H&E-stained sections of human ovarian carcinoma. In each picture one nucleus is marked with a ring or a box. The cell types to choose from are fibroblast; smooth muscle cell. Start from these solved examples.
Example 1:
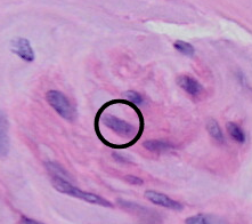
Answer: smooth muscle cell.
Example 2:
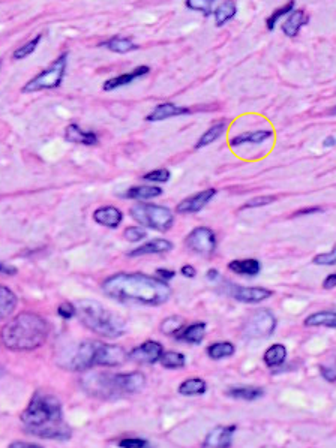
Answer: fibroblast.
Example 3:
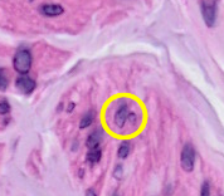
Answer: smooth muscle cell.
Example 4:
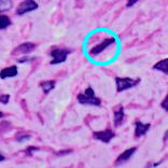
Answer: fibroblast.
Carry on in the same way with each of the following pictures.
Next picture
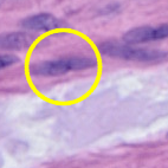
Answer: smooth muscle cell.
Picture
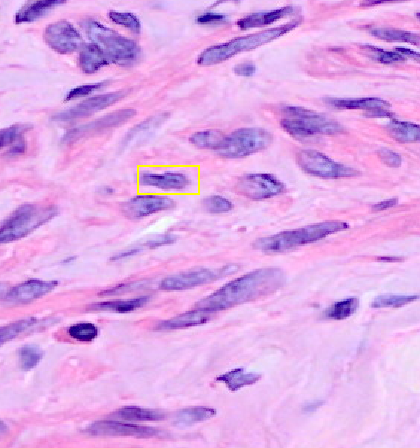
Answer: smooth muscle cell.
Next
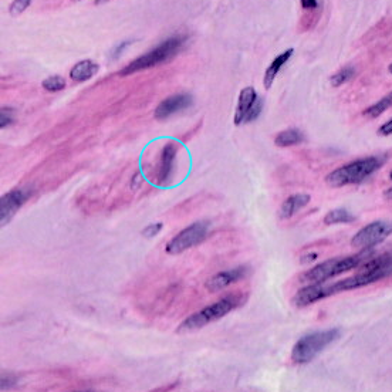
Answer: smooth muscle cell.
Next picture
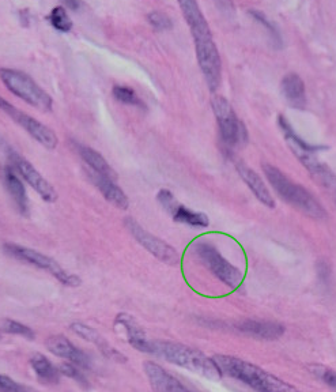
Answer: smooth muscle cell.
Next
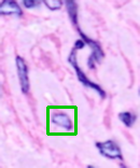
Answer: fibroblast.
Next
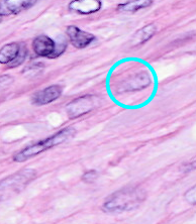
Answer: fibroblast.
